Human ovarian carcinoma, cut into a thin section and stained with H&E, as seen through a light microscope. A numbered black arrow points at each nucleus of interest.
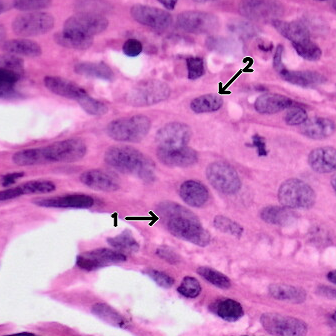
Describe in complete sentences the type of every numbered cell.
Cell 1 is a carcinoma cell and cell 2 is a macrophage or monocyte.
